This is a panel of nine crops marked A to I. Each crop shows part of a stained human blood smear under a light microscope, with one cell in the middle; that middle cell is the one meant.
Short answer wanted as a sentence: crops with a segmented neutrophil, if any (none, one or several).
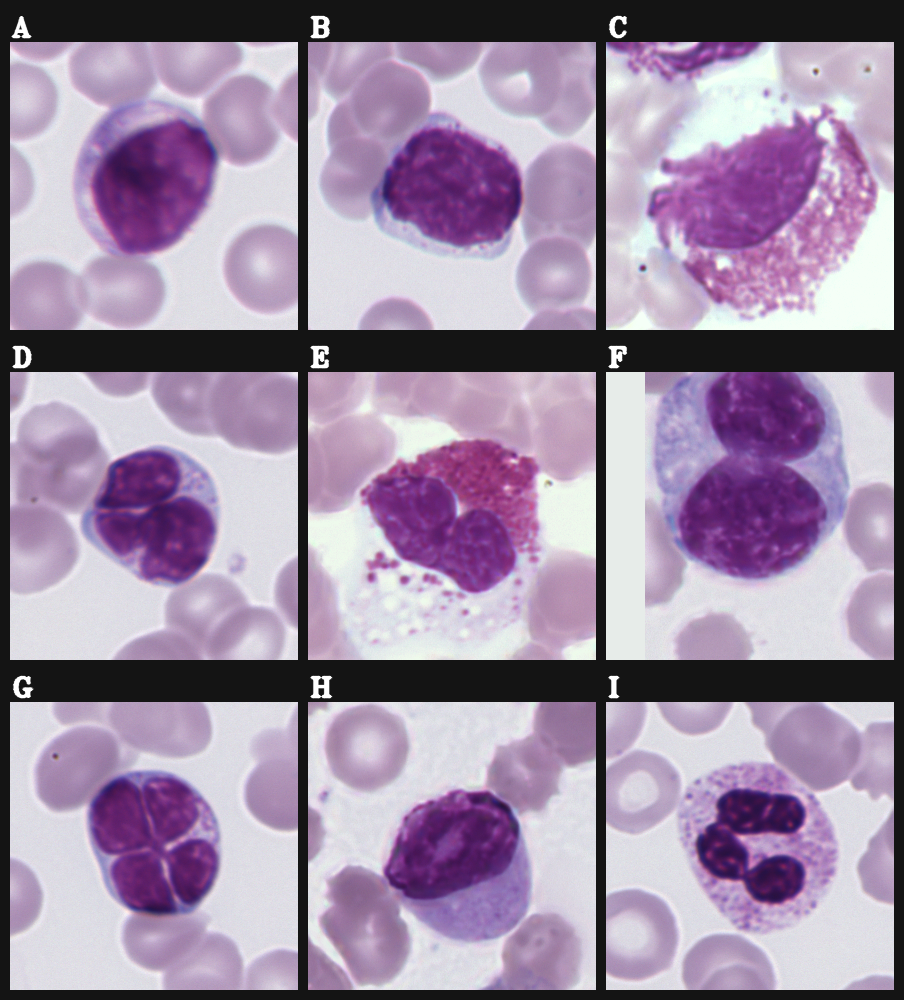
In this set, a segmented neutrophil is present only in crop I.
